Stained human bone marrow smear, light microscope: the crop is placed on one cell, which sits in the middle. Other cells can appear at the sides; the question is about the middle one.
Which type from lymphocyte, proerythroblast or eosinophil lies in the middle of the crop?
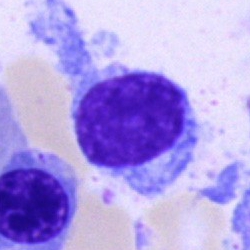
lymphocyte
